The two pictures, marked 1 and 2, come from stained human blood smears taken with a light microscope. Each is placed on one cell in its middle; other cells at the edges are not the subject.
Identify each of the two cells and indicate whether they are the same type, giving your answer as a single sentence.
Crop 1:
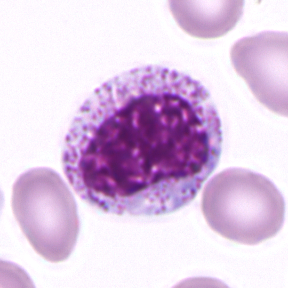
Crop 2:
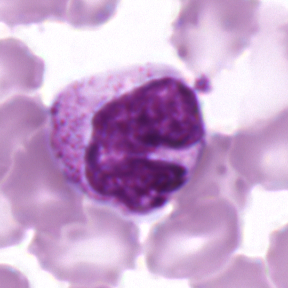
No, crop 1 offers a metamyelocyte, while crop 2 offers a band neutrophil.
